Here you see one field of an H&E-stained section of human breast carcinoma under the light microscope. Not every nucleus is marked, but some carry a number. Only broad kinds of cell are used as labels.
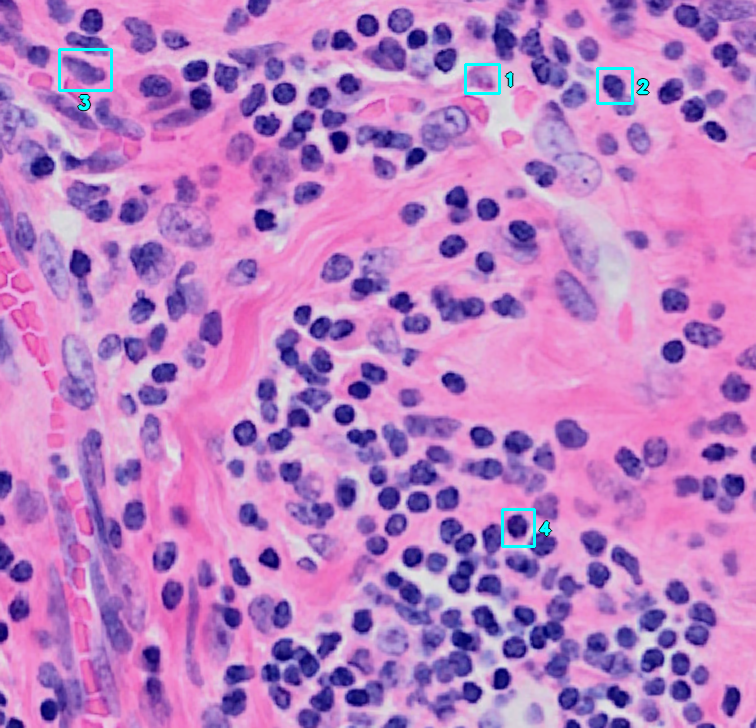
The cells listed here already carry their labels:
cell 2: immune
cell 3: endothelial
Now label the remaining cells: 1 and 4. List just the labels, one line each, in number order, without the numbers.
endothelial
immune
